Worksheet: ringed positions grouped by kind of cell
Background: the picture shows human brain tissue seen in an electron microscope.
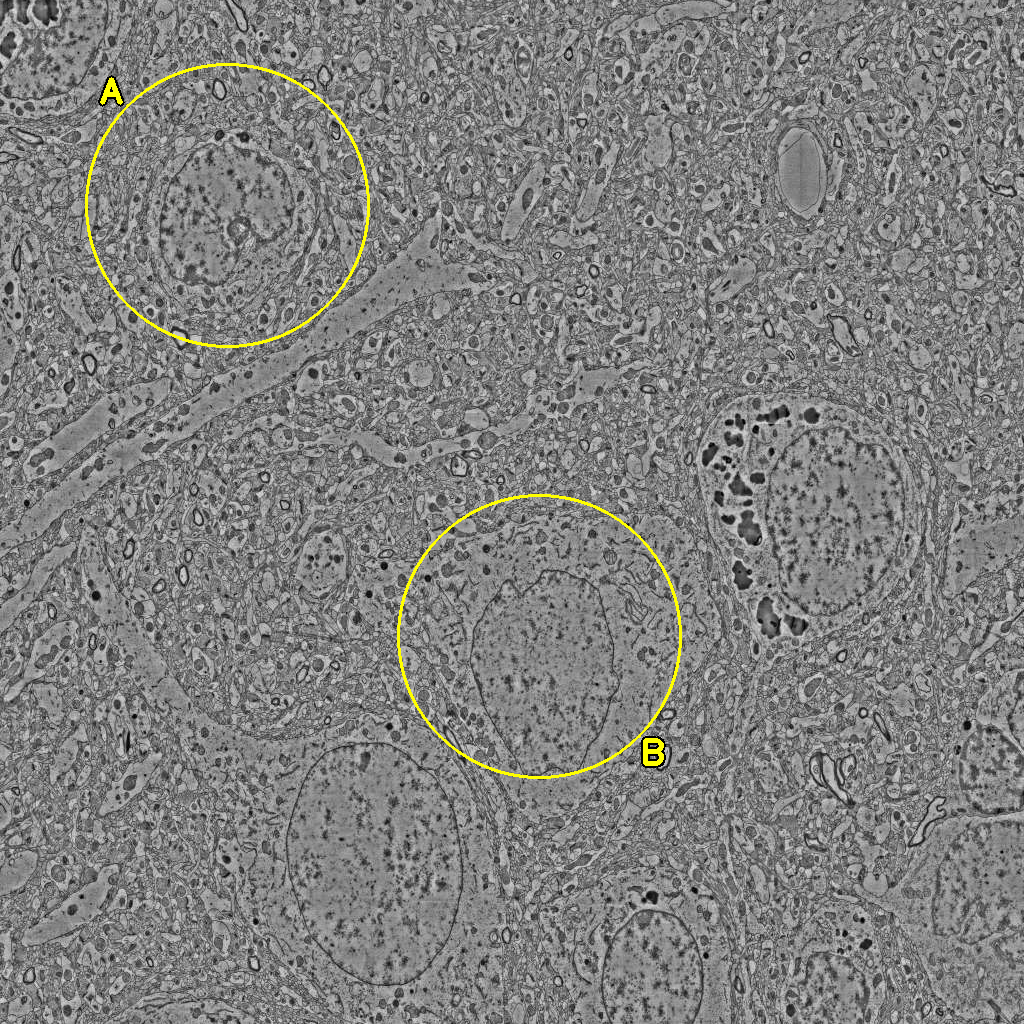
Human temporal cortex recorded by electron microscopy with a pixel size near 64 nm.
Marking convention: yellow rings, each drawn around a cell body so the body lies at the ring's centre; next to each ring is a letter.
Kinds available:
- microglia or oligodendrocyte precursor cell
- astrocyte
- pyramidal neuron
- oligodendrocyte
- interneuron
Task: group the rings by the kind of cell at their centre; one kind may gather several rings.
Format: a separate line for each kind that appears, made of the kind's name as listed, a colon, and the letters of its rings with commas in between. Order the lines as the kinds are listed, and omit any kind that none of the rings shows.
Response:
pyramidal neuron: B
interneuron: A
